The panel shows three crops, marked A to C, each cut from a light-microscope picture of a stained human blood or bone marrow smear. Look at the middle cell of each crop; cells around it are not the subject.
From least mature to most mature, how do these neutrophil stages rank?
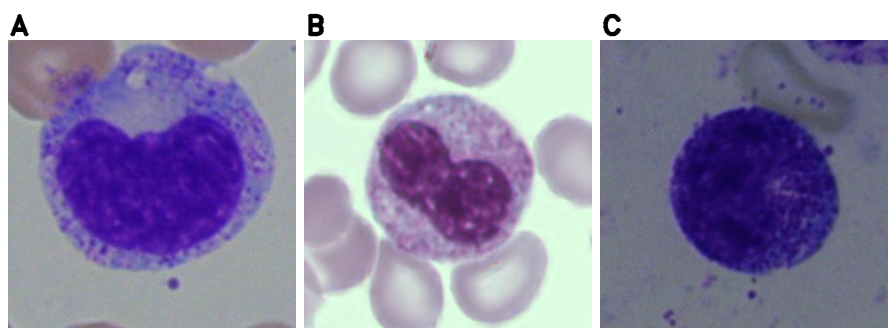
C, A, B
